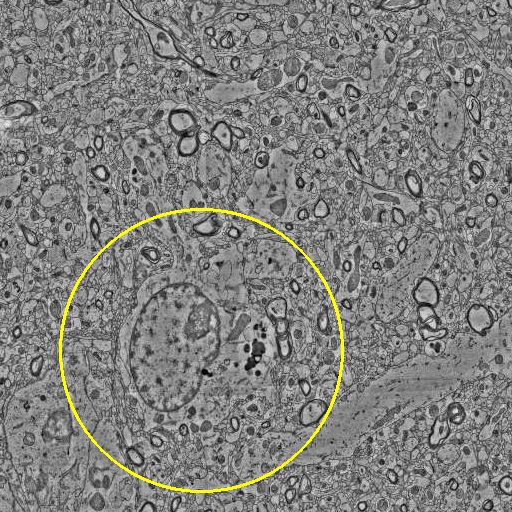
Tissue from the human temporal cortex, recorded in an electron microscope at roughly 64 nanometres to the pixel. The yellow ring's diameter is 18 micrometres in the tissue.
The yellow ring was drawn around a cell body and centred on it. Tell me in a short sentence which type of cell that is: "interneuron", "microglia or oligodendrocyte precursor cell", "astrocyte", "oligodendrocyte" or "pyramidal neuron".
The cell at the ring's centre is an astrocyte.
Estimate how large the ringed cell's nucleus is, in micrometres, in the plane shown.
Roughly 8 micrometres long and 6 micrometres wide; in this plane the nucleus is clearly longer than it is wide.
